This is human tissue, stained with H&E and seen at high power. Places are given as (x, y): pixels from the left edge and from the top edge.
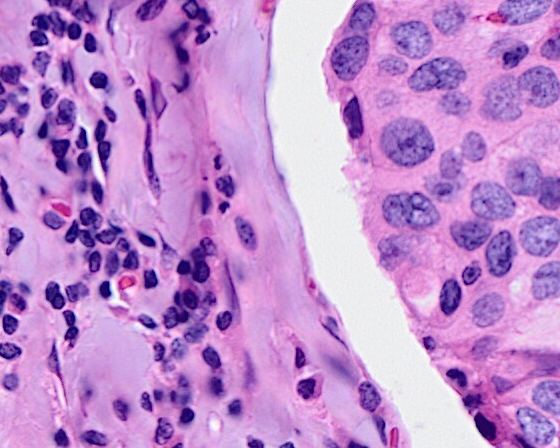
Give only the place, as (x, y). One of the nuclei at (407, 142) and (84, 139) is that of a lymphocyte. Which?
(84, 139)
